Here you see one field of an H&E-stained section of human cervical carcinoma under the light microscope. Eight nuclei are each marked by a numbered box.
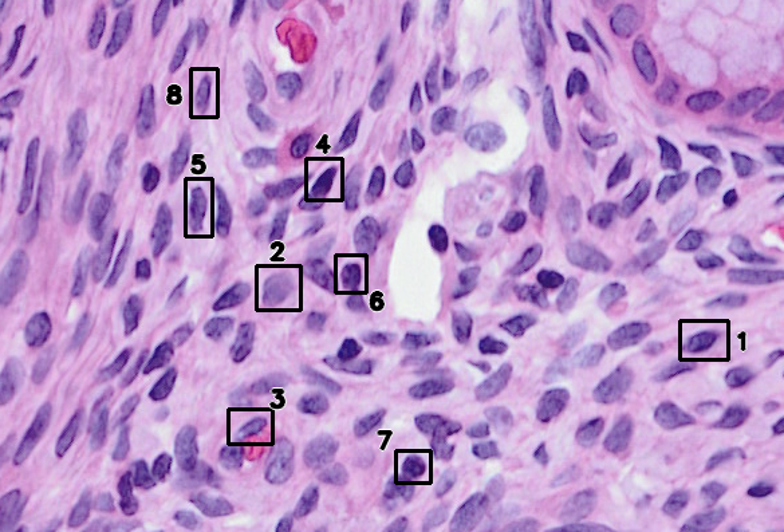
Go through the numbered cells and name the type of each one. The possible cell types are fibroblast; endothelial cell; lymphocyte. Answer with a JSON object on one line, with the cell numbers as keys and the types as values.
{"1": "fibroblast", "2": "fibroblast", "3": "endothelial cell", "4": "lymphocyte", "5": "fibroblast", "6": "lymphocyte", "7": "lymphocyte", "8": "fibroblast"}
